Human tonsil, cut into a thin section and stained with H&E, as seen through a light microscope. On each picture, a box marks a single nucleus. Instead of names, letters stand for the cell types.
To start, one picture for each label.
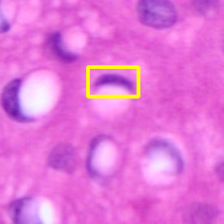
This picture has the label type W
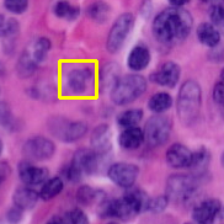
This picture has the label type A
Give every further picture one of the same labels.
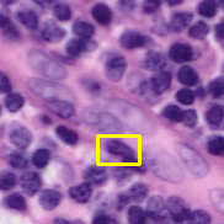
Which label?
type A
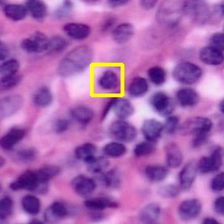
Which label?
type A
